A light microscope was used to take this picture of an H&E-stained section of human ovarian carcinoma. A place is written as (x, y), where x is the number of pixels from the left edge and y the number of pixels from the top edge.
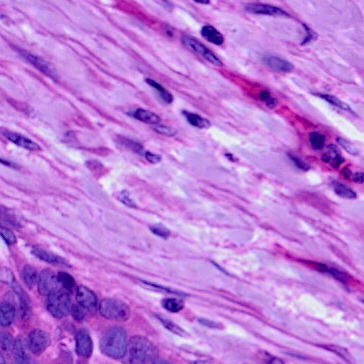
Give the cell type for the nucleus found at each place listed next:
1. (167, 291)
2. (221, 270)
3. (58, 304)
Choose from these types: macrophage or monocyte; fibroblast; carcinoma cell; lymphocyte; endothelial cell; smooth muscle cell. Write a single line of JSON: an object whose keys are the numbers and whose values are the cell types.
{"1": "fibroblast", "2": "fibroblast", "3": "carcinoma cell"}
